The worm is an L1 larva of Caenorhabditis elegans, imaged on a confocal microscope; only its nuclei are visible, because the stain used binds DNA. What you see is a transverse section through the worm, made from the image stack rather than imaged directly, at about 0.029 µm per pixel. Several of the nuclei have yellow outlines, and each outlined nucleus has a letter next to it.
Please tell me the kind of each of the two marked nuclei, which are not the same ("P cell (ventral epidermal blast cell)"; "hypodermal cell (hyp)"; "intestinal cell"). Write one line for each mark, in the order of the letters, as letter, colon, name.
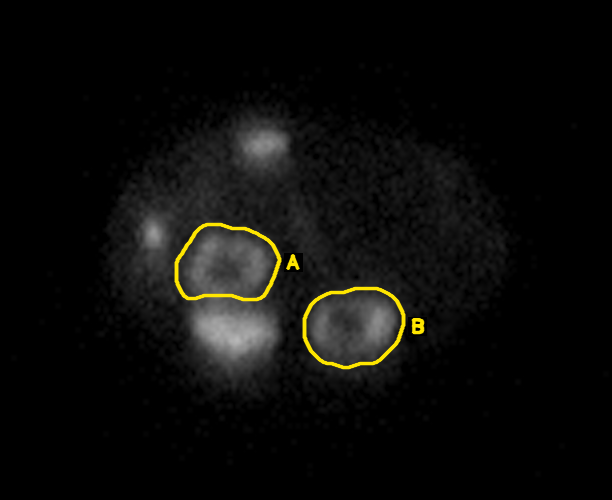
A: intestinal cell
B: hypodermal cell (hyp)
